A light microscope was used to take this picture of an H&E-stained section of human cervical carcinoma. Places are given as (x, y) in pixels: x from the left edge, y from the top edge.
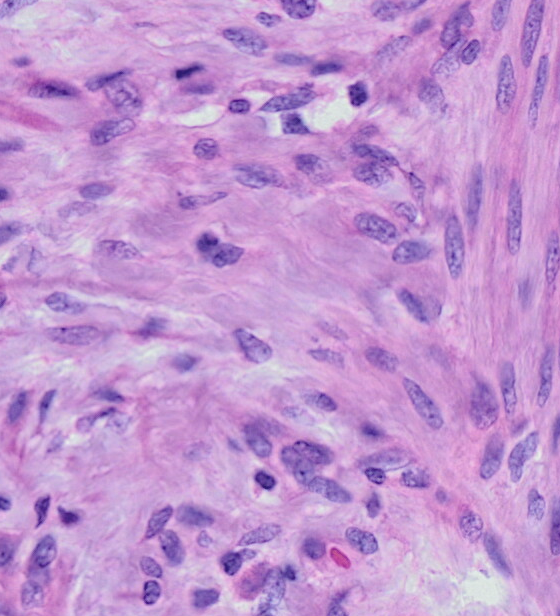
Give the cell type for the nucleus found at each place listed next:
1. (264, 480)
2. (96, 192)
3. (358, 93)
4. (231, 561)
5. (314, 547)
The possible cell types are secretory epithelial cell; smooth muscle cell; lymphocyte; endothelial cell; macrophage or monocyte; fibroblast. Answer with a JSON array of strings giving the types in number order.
["lymphocyte", "fibroblast", "lymphocyte", "lymphocyte", "endothelial cell"]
